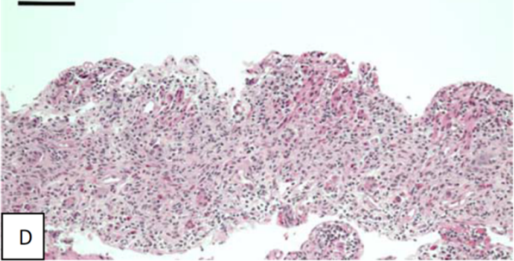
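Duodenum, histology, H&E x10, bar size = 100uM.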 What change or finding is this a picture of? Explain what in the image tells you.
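No villi project from the surface. No surface epithelium or crypts are visible. The tissue is cellular stroma with an irregular, ragged surface.
Conclusion: denuded mucosa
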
